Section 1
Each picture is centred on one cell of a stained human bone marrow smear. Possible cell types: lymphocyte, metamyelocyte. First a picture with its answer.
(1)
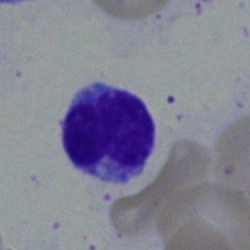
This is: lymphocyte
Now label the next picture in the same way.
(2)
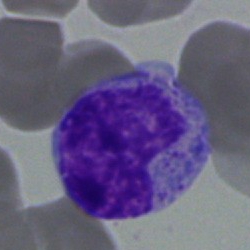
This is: metamyelocyte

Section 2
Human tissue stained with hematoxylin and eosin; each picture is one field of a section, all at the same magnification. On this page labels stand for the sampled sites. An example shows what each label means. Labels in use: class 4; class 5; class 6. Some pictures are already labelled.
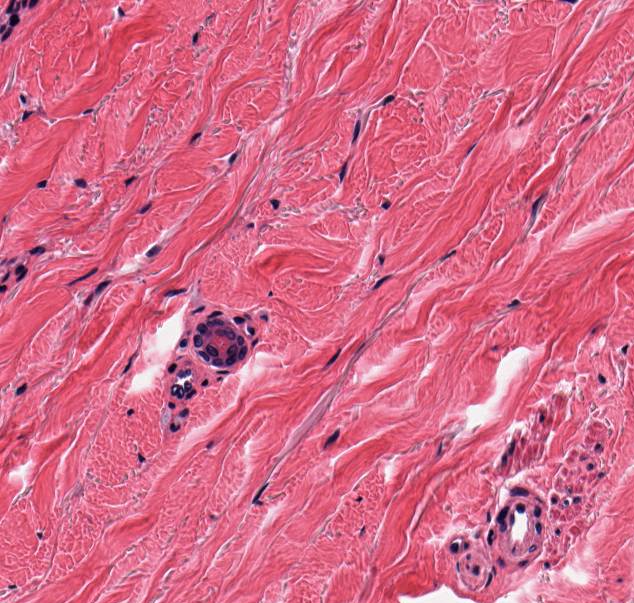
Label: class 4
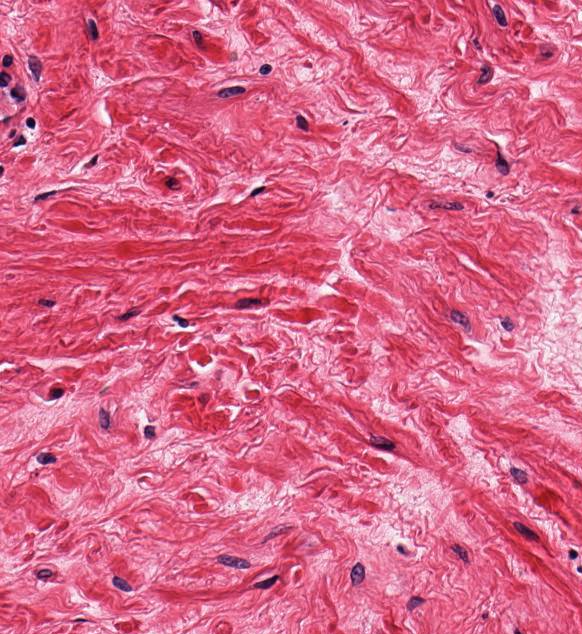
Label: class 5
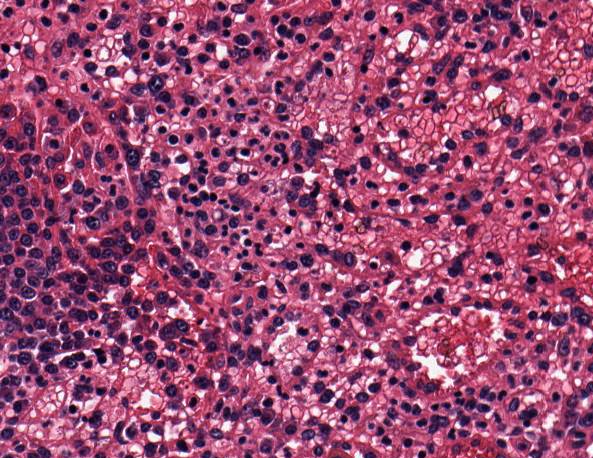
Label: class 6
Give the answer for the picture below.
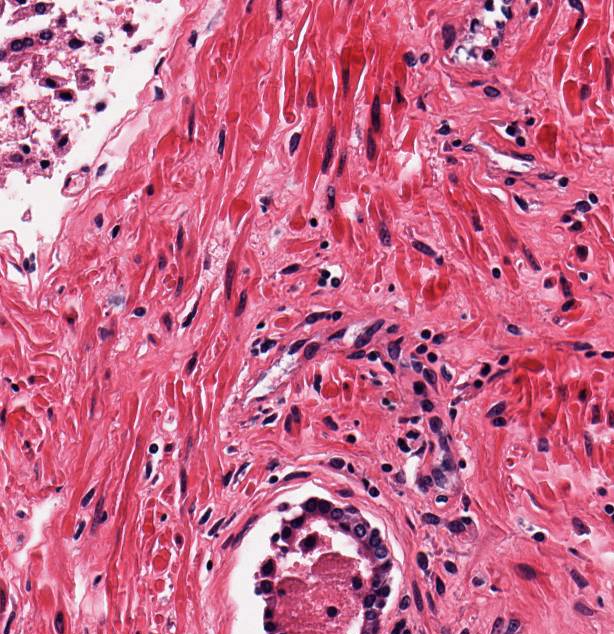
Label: class 5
